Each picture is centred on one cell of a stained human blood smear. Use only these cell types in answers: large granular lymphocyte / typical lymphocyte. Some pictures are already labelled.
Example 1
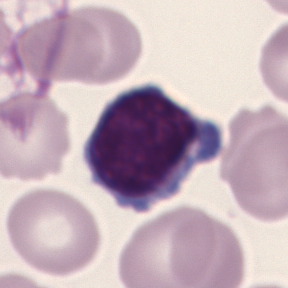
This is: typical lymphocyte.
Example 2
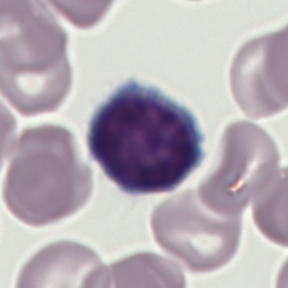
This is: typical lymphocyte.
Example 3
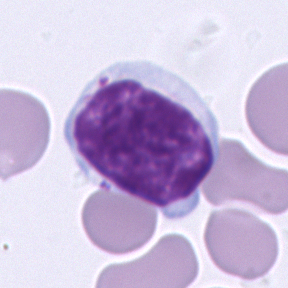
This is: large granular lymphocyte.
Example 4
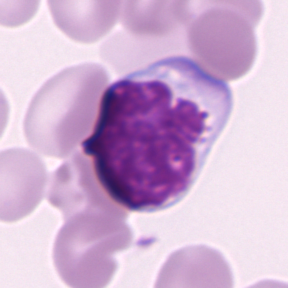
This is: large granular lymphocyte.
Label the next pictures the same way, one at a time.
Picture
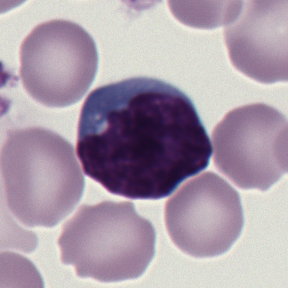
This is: typical lymphocyte.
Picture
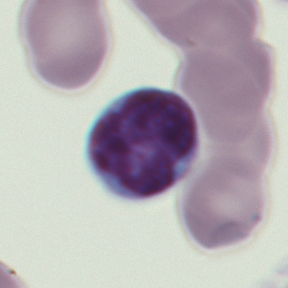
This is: typical lymphocyte.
